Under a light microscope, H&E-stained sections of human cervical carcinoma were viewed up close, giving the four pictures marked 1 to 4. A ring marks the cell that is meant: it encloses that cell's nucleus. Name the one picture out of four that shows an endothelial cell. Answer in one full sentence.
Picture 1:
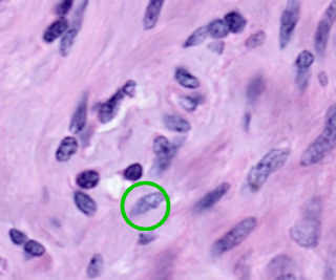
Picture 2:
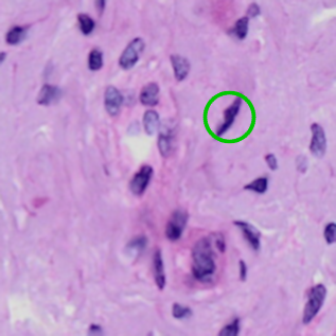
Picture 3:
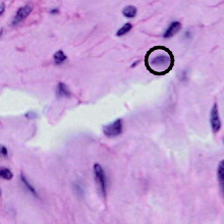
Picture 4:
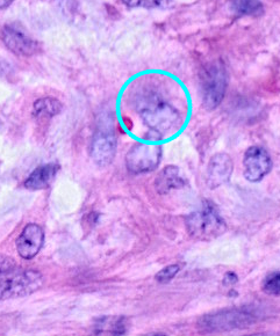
The endothelial cell is the one in picture 4.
